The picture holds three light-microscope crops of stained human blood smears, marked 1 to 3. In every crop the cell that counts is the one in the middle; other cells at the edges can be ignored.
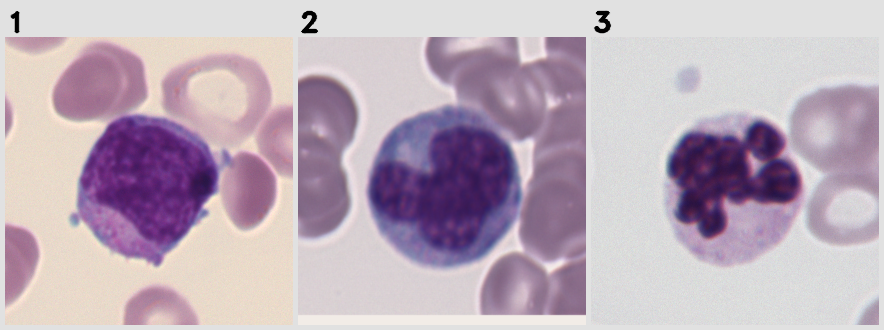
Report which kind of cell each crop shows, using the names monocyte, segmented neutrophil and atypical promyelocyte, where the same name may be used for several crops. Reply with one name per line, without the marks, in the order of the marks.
atypical promyelocyte
monocyte
segmented neutrophil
